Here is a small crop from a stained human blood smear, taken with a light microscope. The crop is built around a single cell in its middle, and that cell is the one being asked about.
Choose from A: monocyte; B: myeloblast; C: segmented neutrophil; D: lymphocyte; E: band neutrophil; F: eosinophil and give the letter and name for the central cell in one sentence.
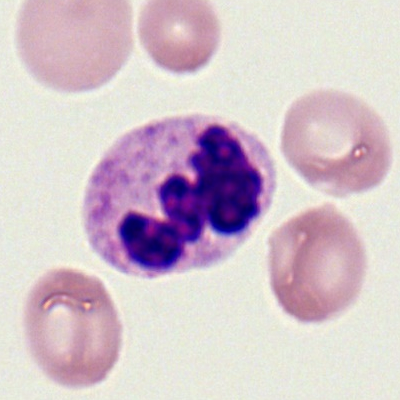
This one is option C, since the cell at the center is a segmented neutrophil.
